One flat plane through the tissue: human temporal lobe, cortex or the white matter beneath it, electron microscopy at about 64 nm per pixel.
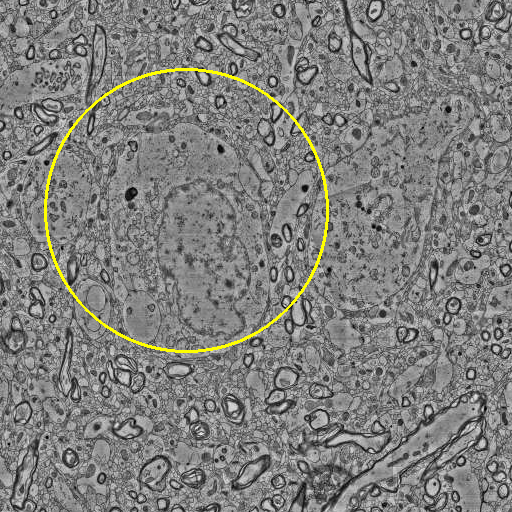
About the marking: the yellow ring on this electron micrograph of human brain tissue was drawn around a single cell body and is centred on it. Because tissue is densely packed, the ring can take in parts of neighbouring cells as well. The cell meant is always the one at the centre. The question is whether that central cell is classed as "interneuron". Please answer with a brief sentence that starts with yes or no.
Yes, the central cell is classed that way.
